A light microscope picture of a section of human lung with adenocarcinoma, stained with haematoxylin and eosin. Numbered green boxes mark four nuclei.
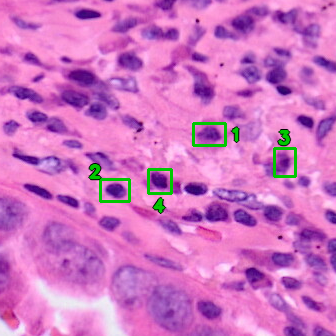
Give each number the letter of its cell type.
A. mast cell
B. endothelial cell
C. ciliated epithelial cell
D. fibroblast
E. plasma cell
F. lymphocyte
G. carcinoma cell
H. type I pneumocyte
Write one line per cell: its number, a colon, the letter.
1: E
2: F
3: E
4: E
